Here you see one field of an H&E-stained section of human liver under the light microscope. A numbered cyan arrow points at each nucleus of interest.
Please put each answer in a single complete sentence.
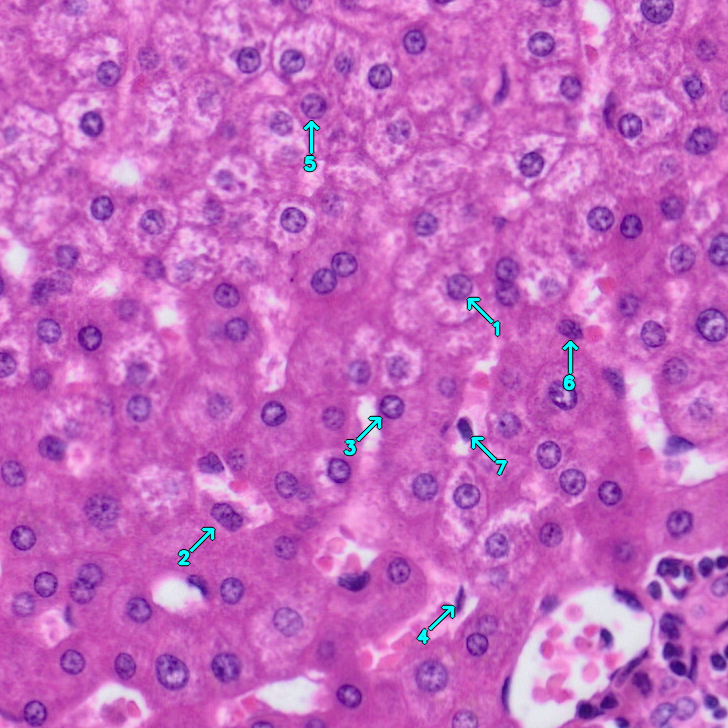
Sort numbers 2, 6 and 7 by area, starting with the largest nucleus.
Largest first, the order by area is 2, 6, 7.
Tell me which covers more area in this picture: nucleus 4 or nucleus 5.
Number 5 is larger; its area is about 2.5 times that of number 4.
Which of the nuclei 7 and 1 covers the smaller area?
Nucleus 7 covers less area, with nucleus 1 about 2.5 times as large.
